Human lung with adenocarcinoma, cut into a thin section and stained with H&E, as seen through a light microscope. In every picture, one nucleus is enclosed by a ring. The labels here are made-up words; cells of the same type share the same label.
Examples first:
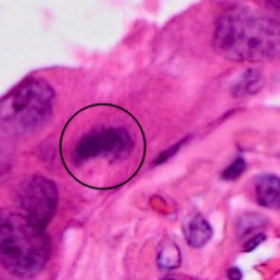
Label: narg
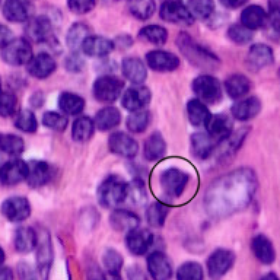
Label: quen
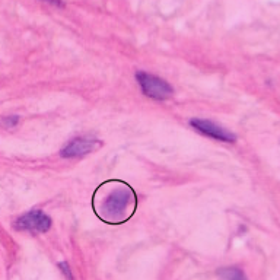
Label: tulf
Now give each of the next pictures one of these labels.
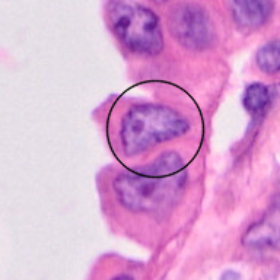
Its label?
narg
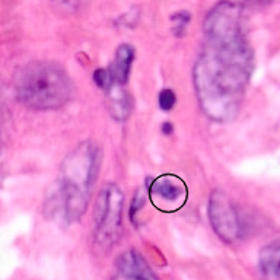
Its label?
quen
